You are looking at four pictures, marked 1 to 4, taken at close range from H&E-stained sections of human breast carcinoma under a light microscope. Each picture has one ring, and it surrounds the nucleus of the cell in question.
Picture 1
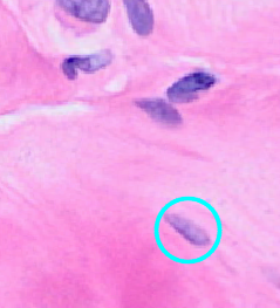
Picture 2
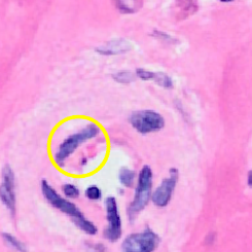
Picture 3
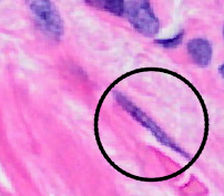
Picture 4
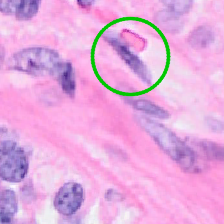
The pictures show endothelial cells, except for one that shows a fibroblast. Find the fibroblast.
1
